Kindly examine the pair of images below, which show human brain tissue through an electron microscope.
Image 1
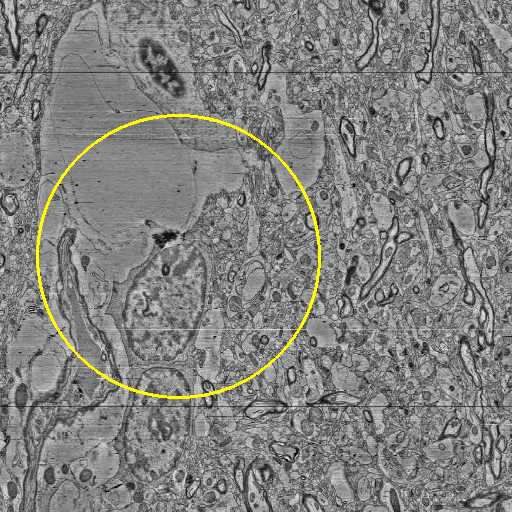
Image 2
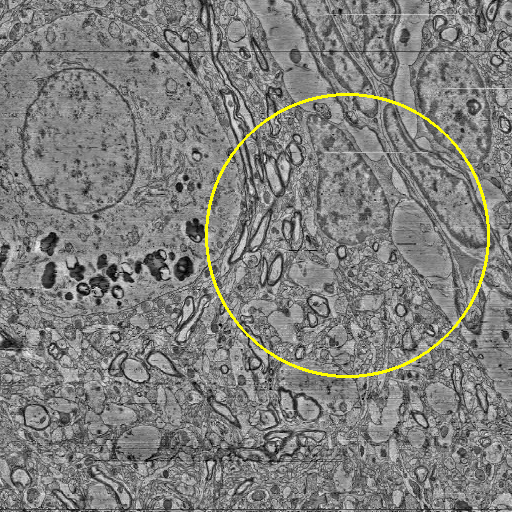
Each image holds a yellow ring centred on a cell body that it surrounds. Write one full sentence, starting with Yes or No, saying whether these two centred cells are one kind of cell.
Yes, both cells at the centres of the yellow rings belong to one kind of cell.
